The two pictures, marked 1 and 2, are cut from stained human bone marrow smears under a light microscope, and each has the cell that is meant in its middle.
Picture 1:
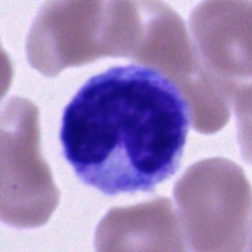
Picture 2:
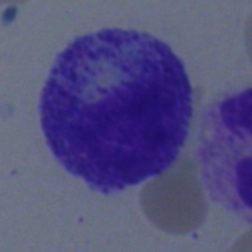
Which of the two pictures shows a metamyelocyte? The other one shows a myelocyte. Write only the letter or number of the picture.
1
